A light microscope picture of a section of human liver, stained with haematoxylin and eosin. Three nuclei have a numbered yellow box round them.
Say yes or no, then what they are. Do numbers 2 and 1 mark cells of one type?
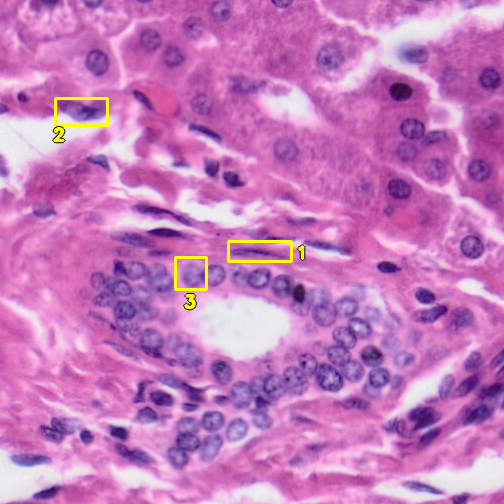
Yes, both are fibroblasts or stellate cells.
